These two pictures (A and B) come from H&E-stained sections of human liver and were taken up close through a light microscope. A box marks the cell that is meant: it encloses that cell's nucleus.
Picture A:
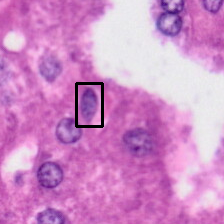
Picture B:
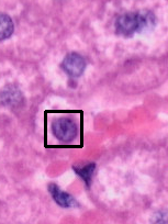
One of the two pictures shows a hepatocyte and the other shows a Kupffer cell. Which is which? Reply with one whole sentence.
It is picture A that shows a Kupffer cell, and picture B that shows a hepatocyte.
